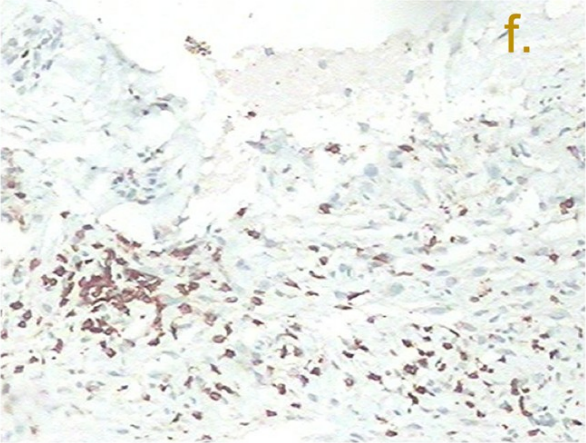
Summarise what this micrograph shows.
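Pale, loose stroma with blue counterstained nuclei contains many small cells whose outline is stained brown. The brown cells are small and round to slightly irregular, scattered singly through the tissue and gathered more densely in a cluster at the lower left. The upper part of the field is paler and less cellular.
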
